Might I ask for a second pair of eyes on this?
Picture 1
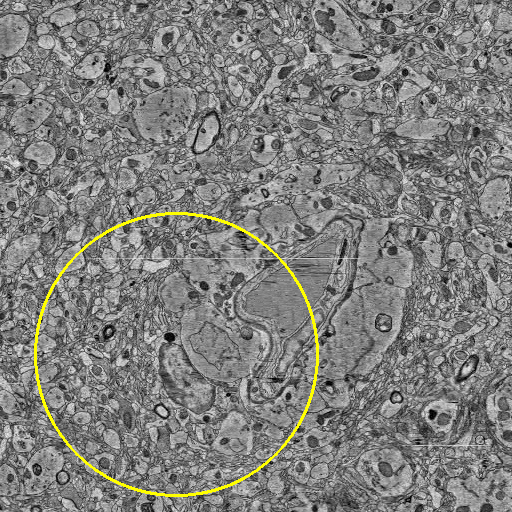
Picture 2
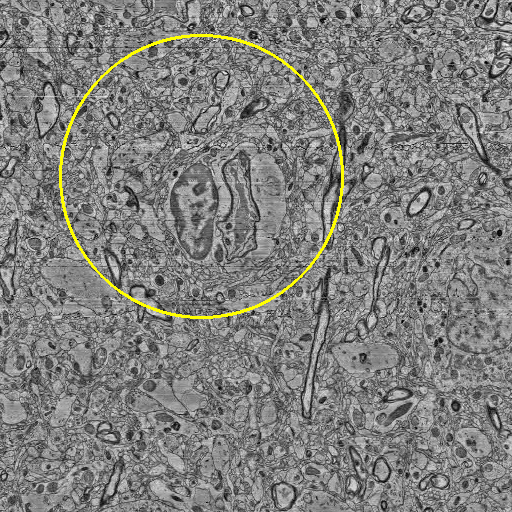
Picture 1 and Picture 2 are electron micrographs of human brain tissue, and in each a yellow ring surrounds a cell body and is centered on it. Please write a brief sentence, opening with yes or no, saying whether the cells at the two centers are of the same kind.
Yes, the cells are of the same kind.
